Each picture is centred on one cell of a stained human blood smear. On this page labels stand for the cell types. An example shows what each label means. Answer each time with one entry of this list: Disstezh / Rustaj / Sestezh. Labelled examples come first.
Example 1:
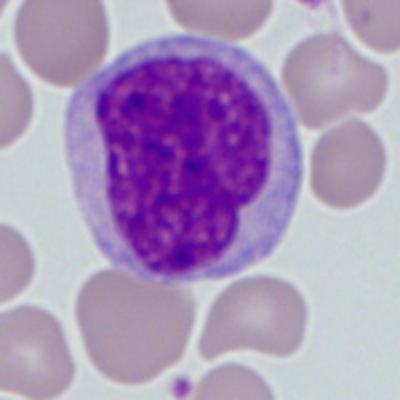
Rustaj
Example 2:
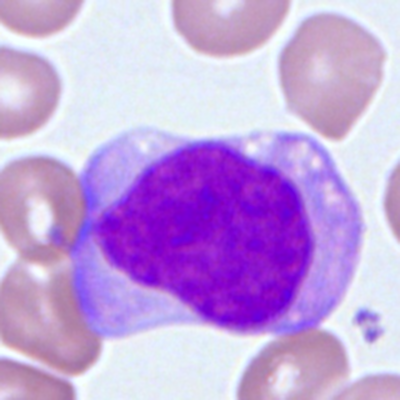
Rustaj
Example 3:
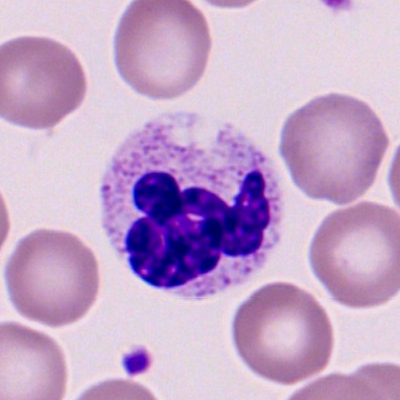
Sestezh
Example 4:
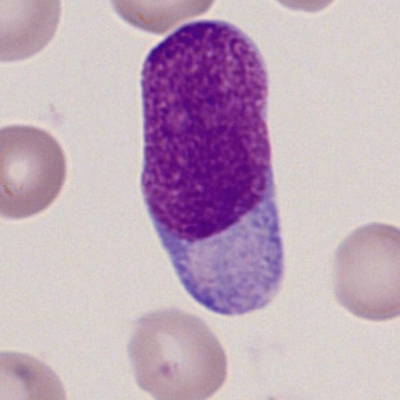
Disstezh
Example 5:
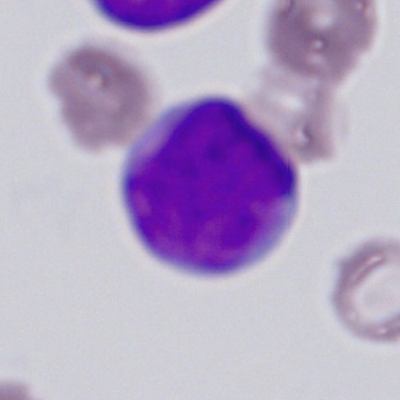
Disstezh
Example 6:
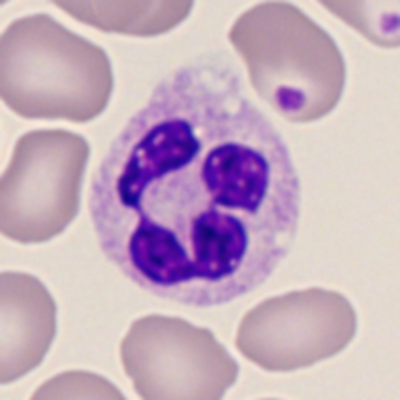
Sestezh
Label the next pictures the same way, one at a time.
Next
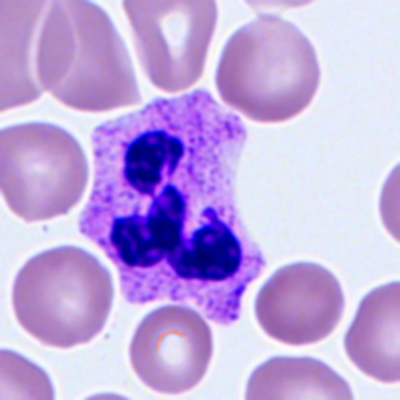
Sestezh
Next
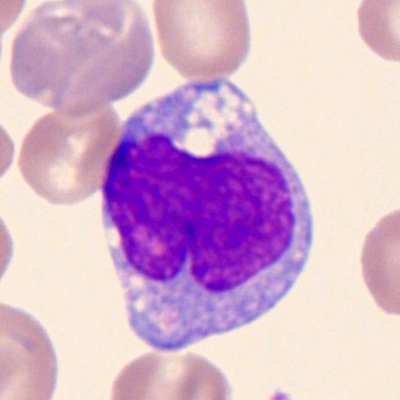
Rustaj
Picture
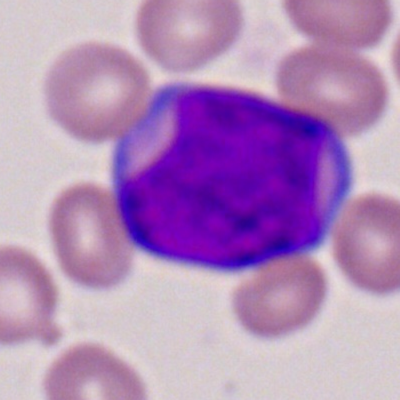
Disstezh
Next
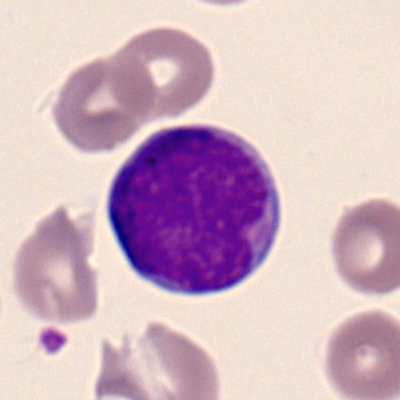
Disstezh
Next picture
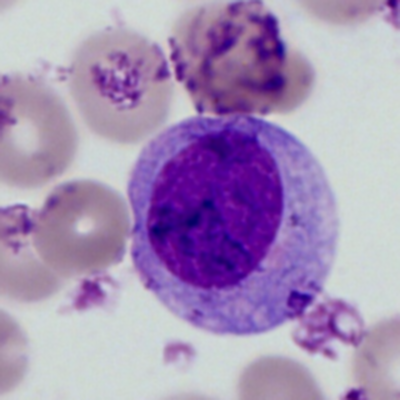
Disstezh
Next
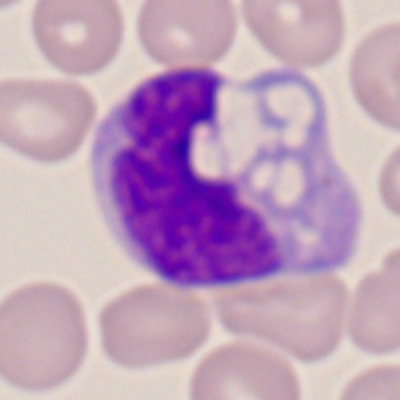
Rustaj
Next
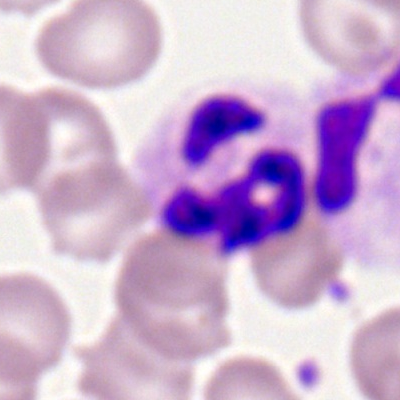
Sestezh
